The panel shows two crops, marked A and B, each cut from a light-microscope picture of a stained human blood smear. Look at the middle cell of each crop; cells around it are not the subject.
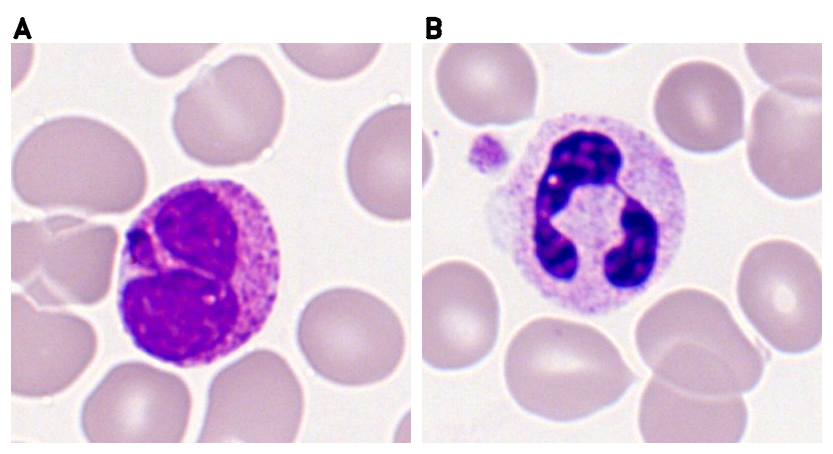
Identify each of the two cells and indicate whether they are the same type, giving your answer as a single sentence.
No, crop A depicts an eosinophil; crop B depicts a segmented neutrophil.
